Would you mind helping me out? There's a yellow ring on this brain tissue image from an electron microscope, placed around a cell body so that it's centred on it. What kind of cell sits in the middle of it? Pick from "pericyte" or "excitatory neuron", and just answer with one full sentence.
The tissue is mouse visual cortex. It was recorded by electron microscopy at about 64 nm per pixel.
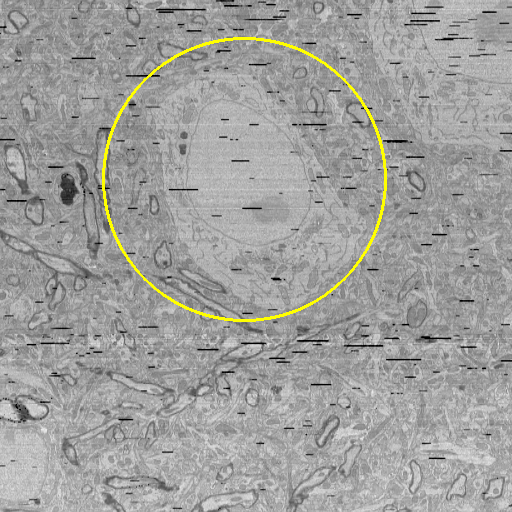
What sits in the middle of that yellow ring is an excitatory neuron, from your choices.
